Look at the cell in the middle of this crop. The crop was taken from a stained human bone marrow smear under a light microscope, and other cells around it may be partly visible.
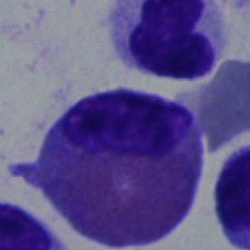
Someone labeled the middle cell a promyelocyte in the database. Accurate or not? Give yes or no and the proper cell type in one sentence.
No, the centrally placed cell is an eosinophil, not a promyelocyte.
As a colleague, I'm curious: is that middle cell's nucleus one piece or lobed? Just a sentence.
Just one compact nuclear mass here, round, oval or kidney-shaped.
